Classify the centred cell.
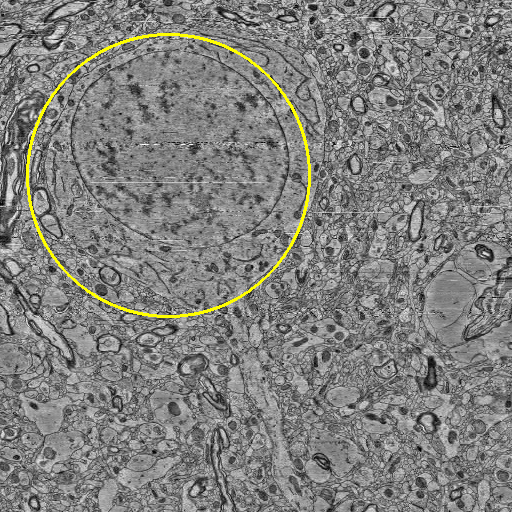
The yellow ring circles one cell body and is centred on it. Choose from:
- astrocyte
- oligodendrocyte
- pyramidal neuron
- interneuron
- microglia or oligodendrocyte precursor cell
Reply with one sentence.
The ring is centred on a pyramidal neuron.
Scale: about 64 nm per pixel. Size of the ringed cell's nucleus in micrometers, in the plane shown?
In this plane the nucleus measures roughly 13 micrometres across.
